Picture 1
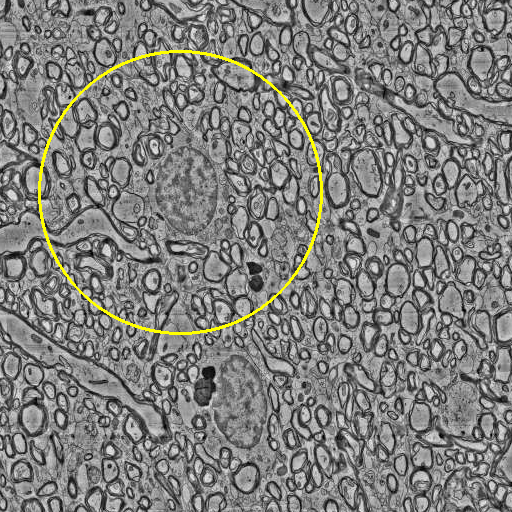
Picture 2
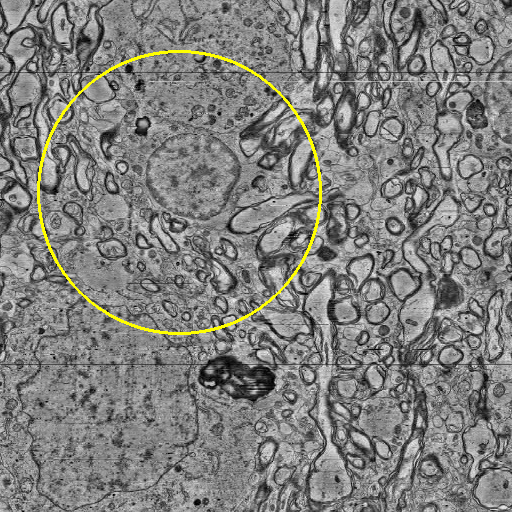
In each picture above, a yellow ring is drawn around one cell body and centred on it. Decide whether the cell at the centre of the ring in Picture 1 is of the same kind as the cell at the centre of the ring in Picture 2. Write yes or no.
yes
